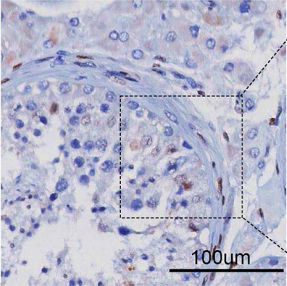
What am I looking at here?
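A section of testis shows part of a seminiferous tubule surrounded by a layered fibrous wall. Most nuclei within the tubule are blue, with only scattered nuclei showing light brown staining, while elongated flattened nuclei in the tubule wall are stained brown.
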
